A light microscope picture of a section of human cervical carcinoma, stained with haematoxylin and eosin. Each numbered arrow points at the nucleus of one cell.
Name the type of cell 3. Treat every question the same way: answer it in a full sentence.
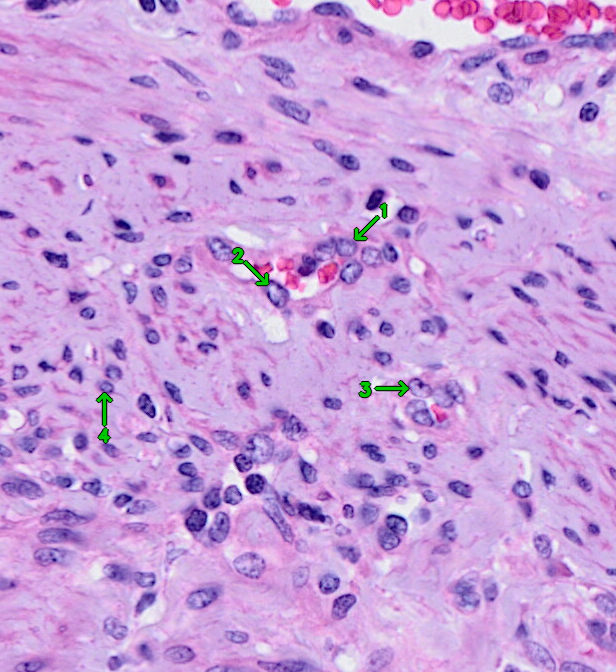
Cell 3 in the field of view is an endothelial cell.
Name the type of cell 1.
The numbered cell 1 is identified here as an endothelial cell.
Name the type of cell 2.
The cell referenced by the number 2 is an endothelial cell in this field.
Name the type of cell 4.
In this section, the cell tagged 4 is a smooth muscle cell.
